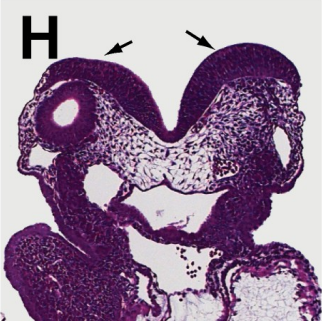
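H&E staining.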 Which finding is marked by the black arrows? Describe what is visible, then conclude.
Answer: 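The two neural folds are splayed outward and curve down laterally instead of meeting at the dorsal midline. The thick neuroepithelium faces the outside surface with no enclosed lumen. There is no thin roof covering a dorsal cavity.
Conclusion: open neural tube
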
